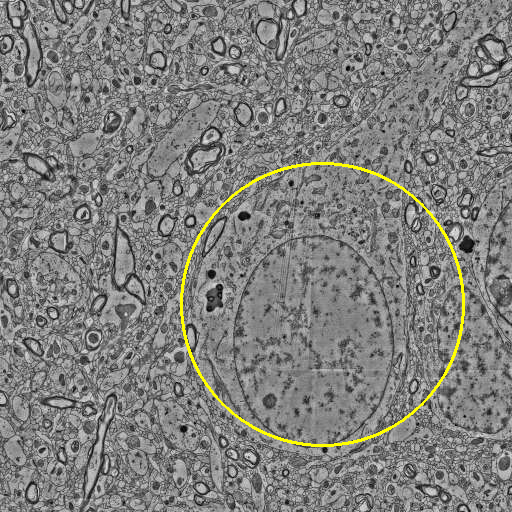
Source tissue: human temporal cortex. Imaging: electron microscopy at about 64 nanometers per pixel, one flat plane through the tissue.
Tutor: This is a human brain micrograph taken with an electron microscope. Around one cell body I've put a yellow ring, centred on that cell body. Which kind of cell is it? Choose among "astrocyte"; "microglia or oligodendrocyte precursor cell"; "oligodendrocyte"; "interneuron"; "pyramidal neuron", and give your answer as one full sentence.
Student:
Going by your list, the cell centred in the yellow ring is a pyramidal neuron.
